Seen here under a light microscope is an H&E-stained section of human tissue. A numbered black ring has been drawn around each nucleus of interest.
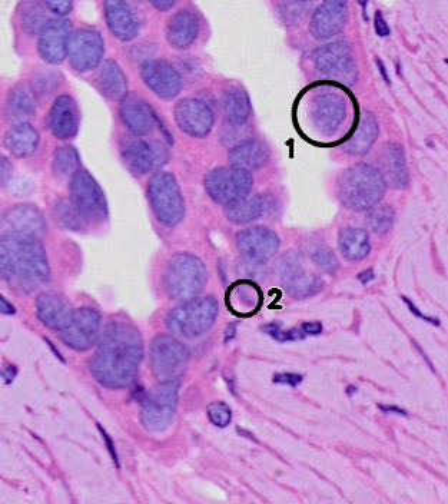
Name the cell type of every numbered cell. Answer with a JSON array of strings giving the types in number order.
["carcinoma cell", "fibroblast"]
